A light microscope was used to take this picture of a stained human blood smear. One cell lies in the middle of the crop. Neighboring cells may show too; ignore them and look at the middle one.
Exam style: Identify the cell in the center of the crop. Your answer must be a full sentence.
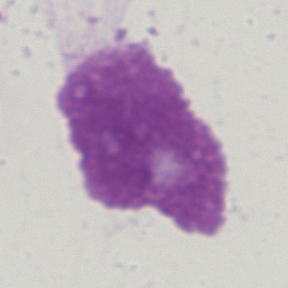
The middle of this crop is occupied by a smudge cell.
